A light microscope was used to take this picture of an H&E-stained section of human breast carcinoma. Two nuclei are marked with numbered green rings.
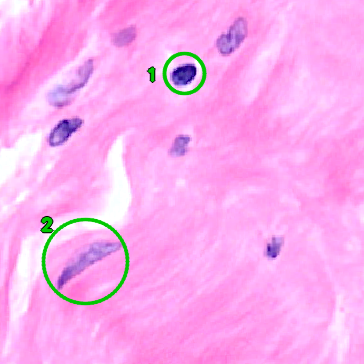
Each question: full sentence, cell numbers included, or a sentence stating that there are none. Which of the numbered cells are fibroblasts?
The numbered cells include exactly one that is a fibroblast, which is cell 2.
